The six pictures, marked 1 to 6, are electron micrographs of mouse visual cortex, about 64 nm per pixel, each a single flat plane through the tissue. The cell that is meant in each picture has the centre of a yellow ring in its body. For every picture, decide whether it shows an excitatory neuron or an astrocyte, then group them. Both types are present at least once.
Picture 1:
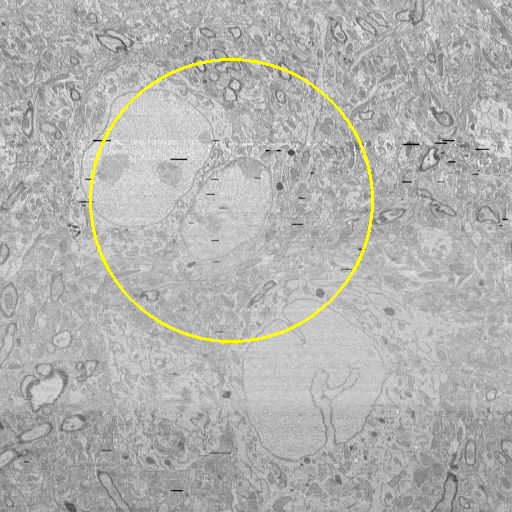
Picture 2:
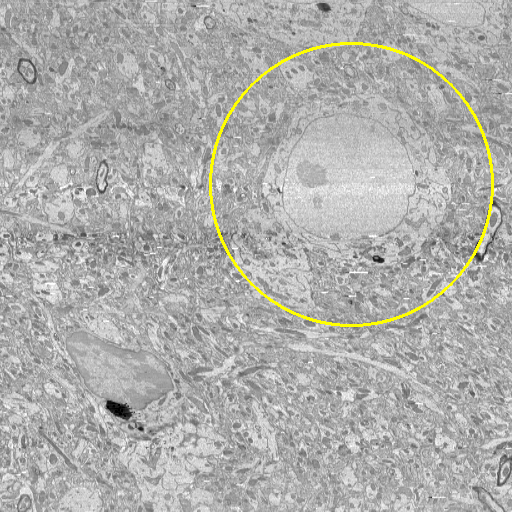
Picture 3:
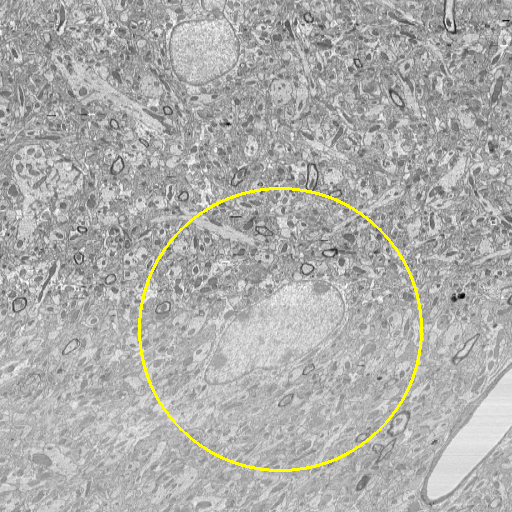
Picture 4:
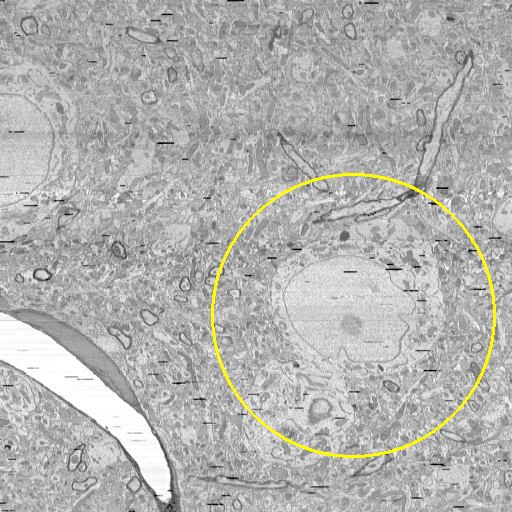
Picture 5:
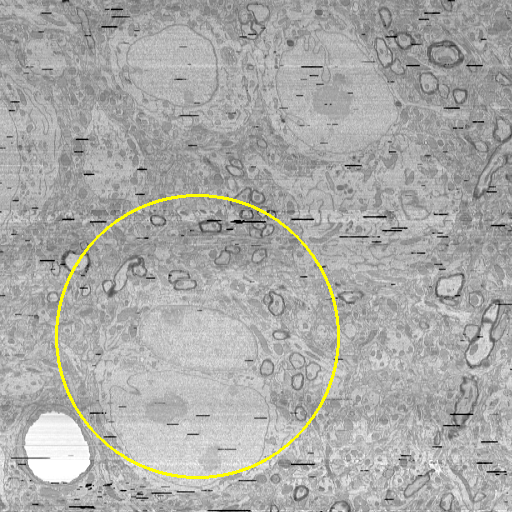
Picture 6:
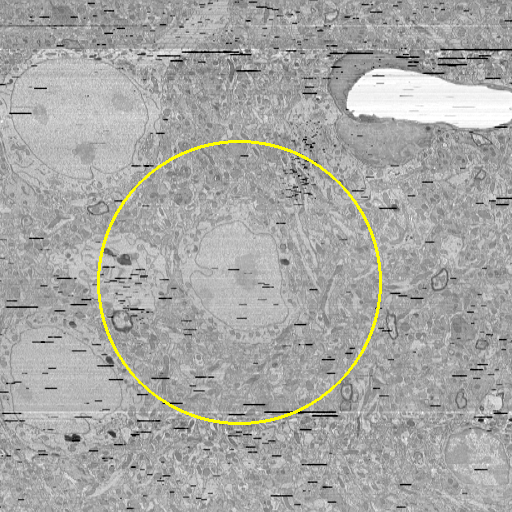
Pictures 2, 4 and 6 show excitatory neurons, while pictures 1, 3 and 5 show astrocytes.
